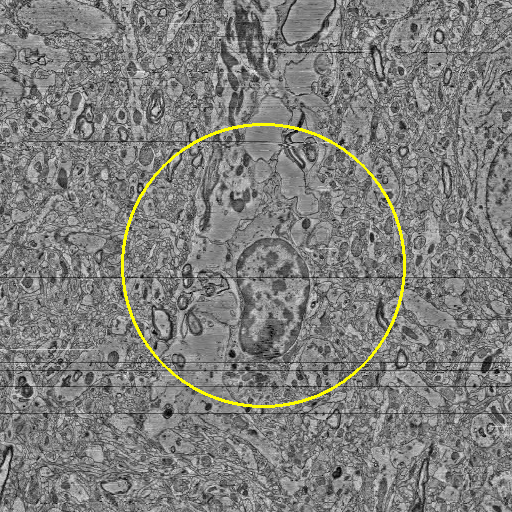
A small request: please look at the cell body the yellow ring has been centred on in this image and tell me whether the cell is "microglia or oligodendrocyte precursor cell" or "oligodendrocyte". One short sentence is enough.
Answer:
The cell marked by the ring is a microglial cell or oligodendrocyte precursor cell.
